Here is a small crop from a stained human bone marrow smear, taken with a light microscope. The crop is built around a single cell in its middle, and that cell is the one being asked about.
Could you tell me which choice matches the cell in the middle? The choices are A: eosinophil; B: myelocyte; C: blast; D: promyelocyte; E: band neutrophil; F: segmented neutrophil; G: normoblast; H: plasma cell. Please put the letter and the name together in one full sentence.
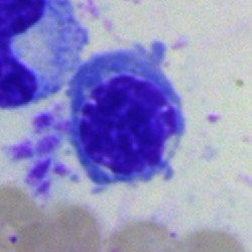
Option G is correct, naming the cell in the middle as a normoblast.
